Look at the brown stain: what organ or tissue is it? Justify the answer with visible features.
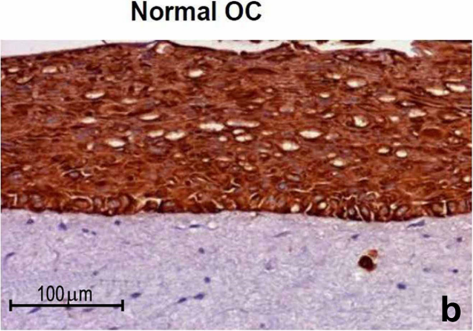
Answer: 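A thick, multilayered sheet of packed cells at the top is stained dark brown. The loose layer beneath is pale blue and unstained. That points to this answer: epithelium.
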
